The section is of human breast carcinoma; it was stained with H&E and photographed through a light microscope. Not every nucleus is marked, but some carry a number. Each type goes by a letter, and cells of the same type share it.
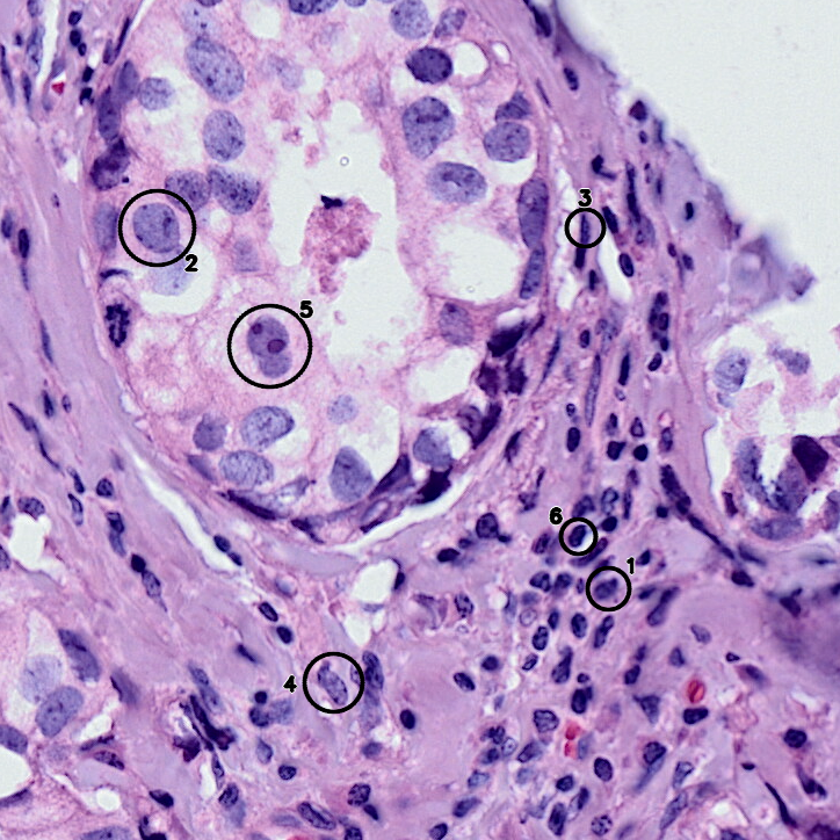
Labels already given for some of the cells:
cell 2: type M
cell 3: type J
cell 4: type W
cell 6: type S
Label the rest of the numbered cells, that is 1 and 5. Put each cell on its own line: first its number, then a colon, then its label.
1: type S
5: type M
